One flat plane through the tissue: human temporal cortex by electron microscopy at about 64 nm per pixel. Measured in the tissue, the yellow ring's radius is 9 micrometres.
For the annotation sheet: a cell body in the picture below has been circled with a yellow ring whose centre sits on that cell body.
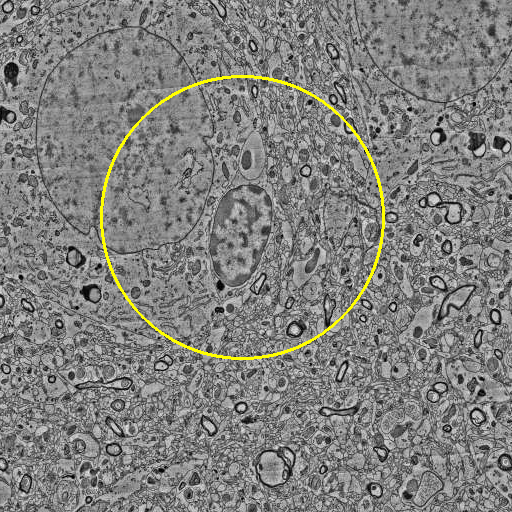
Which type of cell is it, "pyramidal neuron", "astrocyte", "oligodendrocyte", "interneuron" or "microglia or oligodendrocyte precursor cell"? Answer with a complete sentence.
The circled cell is a microglial cell or oligodendrocyte precursor cell.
